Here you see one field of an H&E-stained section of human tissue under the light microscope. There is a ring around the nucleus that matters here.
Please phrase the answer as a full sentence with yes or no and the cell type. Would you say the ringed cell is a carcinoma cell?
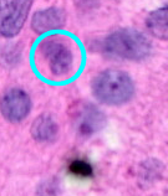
Yes, the ringed cell counts as a carcinoma cell in this tissue.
